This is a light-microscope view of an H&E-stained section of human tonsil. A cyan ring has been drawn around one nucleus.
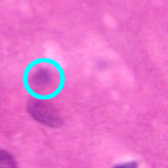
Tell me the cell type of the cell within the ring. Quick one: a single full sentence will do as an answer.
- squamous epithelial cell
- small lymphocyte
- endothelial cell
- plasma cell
It is a squamous epithelial cell that the cell within the ring represents.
